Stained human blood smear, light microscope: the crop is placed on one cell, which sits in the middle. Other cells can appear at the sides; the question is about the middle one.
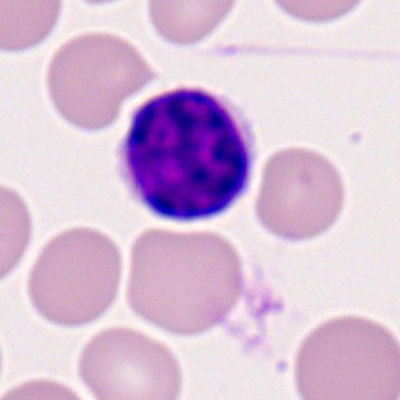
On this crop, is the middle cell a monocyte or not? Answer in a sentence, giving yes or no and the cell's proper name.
No, what sits in the centre of the crop is a lymphocyte rather than a monocyte.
